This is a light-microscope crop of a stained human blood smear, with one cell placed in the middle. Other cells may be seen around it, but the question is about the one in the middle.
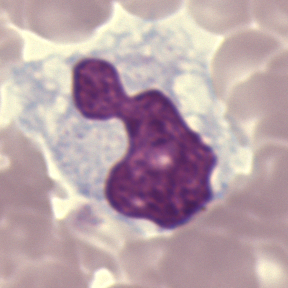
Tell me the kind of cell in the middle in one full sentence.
Whatever else lies nearby, the middle cell is a monocyte.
